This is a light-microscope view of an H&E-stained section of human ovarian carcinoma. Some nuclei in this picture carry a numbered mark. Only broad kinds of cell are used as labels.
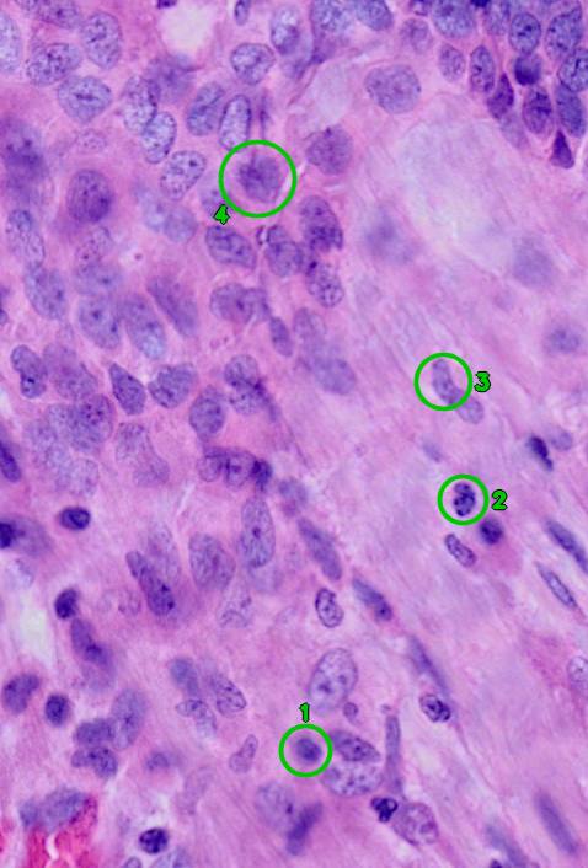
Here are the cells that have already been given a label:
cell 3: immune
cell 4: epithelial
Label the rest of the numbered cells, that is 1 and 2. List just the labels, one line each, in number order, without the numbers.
immune
immune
